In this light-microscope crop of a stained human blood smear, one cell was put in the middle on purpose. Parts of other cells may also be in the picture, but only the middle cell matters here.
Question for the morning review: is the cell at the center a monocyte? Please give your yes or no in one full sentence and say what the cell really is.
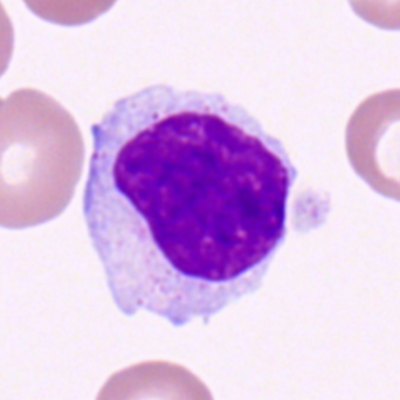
No, the cell at the centre of the crop is a lymphocyte and not a monocyte.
